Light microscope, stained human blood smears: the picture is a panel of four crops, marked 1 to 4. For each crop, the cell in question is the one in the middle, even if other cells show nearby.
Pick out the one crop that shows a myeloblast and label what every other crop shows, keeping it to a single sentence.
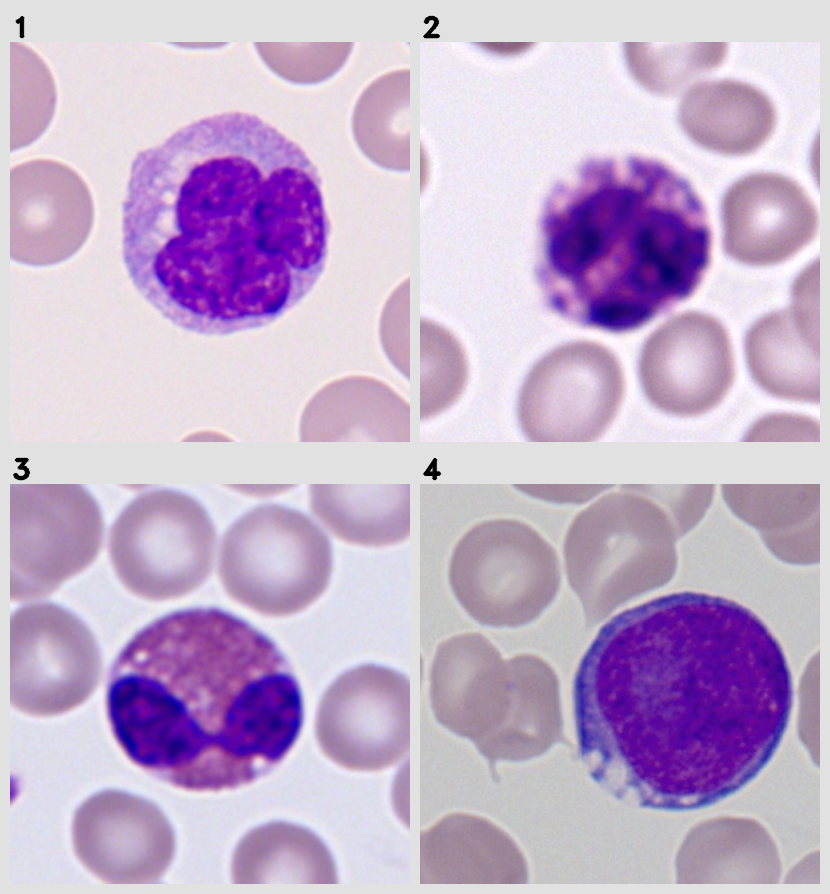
With respect to crop 4, the cell is a myeloblast, whereas crop 1 is a monocyte, crop 2 is a basophil and crop 3 is an eosinophil.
